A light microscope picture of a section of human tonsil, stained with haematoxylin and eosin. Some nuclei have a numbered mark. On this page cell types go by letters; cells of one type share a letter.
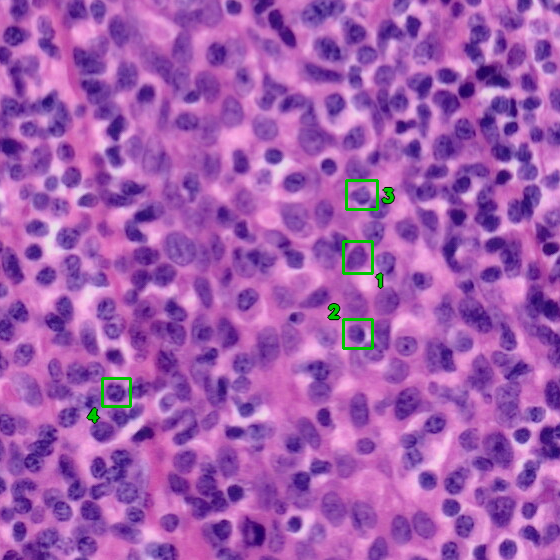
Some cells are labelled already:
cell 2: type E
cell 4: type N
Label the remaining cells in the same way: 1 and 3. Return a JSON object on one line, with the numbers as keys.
{"1": "type E", "3": "type E"}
